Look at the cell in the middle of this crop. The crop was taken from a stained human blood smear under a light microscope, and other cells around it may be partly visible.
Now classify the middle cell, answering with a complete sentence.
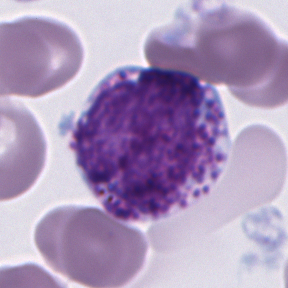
The crop shows a basophil in its centre.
